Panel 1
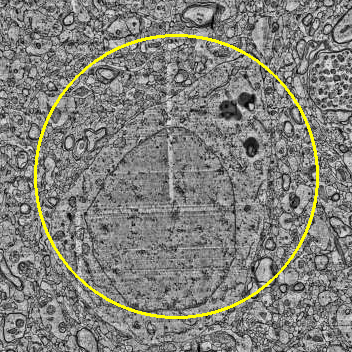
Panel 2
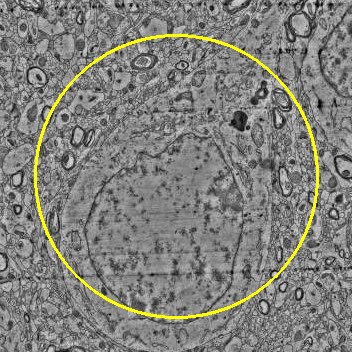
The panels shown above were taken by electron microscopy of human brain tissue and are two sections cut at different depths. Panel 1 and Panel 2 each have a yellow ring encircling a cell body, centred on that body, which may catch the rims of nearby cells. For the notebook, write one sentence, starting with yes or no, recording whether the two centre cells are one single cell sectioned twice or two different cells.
Yes, the two marked outlines come from one and the same cell.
